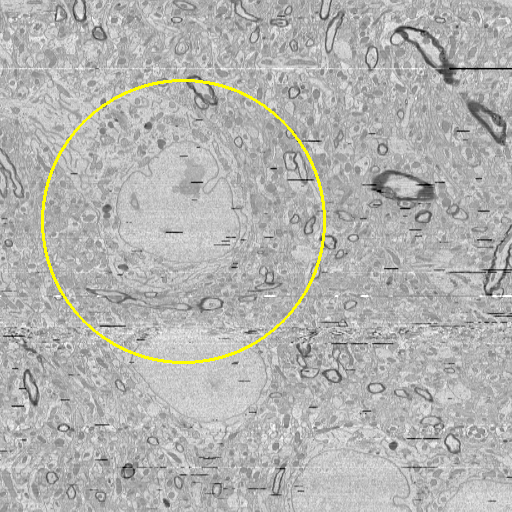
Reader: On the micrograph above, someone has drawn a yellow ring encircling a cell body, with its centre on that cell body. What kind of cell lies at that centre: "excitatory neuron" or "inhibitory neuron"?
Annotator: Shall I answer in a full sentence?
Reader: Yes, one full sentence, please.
Here an inhibitory neuron sits at the centre of the yellow ring drawn on the micrograph.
